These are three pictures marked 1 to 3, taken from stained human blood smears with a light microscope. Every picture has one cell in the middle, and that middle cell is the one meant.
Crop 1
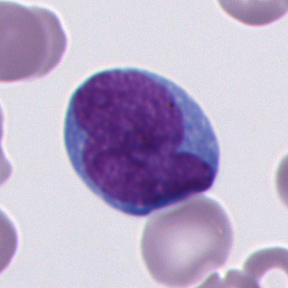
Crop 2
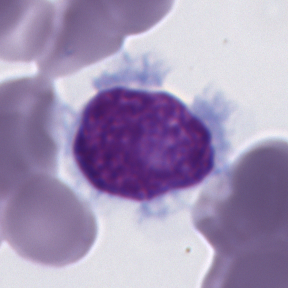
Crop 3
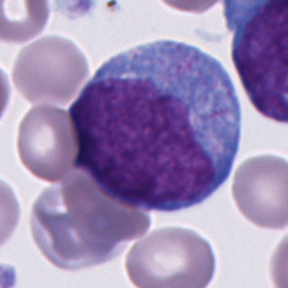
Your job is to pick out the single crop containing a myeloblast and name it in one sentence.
Only in crop 1 is a myeloblast shown.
